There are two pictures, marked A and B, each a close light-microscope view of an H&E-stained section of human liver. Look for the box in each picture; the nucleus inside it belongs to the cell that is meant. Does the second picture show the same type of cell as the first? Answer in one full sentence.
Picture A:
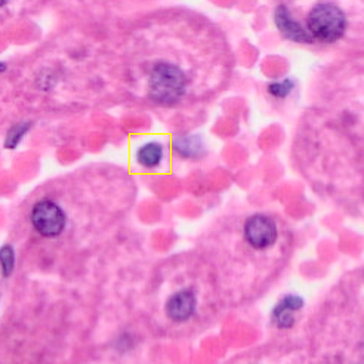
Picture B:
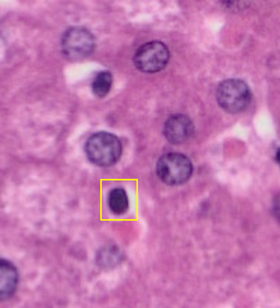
Yes, the two pictures both show lymphocytes.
